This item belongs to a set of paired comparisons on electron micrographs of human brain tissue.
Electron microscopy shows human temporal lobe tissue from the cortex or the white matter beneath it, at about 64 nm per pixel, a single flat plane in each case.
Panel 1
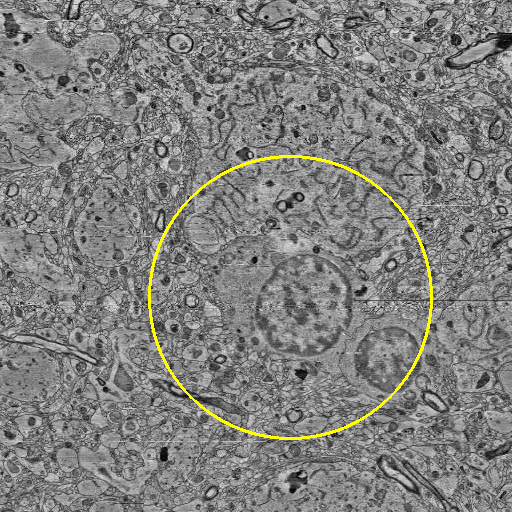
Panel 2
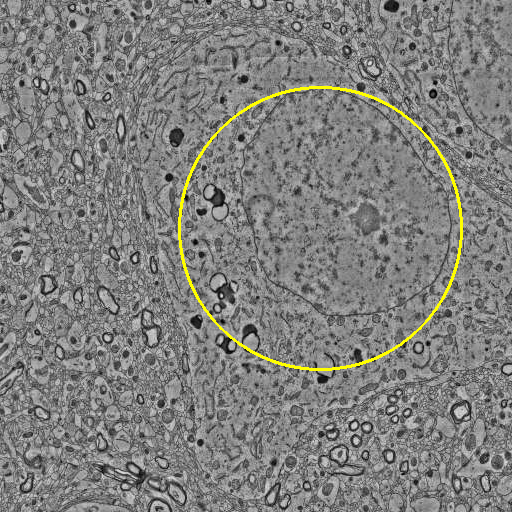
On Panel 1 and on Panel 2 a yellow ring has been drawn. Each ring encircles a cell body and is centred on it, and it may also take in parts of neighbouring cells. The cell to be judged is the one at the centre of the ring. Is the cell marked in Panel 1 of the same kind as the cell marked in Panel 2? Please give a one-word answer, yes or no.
no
